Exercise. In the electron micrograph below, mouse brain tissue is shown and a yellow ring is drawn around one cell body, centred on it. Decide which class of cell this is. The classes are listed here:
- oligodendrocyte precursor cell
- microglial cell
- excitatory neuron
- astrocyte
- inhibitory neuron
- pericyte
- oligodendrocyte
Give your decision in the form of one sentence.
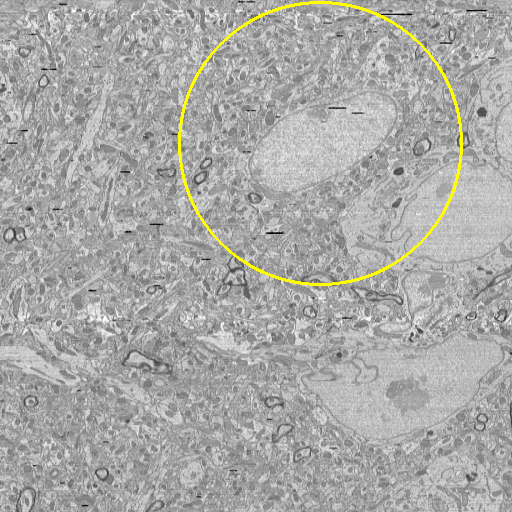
The cell body marked by the ring belongs to an astrocyte.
